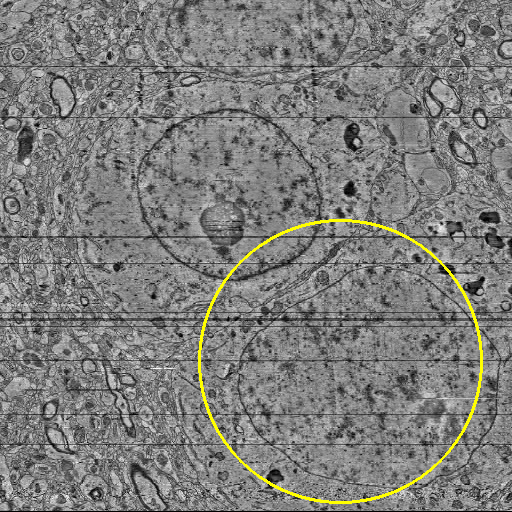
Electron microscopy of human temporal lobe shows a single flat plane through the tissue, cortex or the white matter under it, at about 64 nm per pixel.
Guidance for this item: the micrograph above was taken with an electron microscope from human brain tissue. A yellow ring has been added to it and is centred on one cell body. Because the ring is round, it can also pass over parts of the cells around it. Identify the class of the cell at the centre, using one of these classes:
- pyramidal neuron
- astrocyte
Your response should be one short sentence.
The ring surrounds the body of a pyramidal neuron.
